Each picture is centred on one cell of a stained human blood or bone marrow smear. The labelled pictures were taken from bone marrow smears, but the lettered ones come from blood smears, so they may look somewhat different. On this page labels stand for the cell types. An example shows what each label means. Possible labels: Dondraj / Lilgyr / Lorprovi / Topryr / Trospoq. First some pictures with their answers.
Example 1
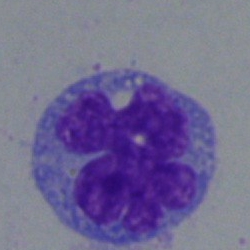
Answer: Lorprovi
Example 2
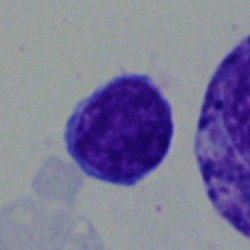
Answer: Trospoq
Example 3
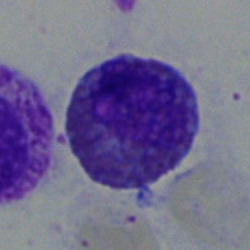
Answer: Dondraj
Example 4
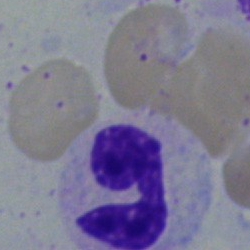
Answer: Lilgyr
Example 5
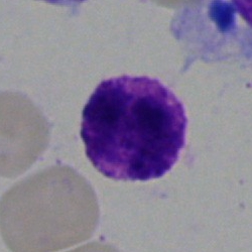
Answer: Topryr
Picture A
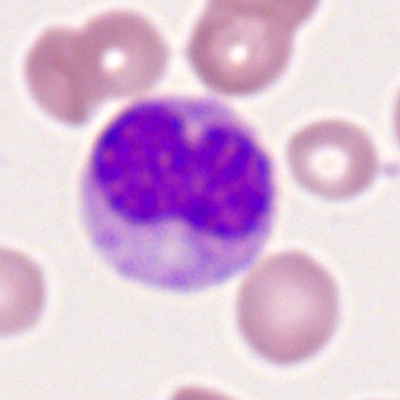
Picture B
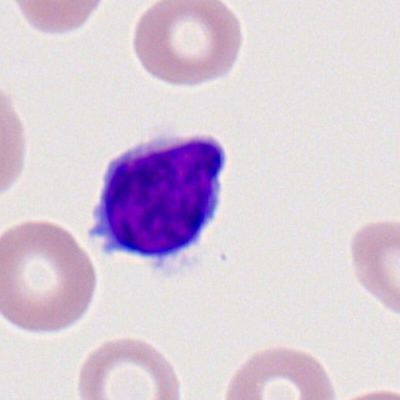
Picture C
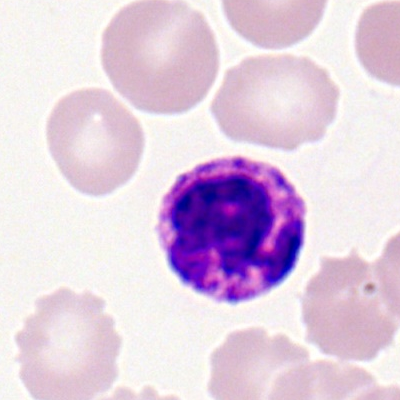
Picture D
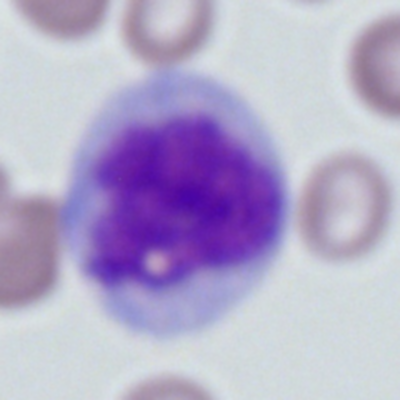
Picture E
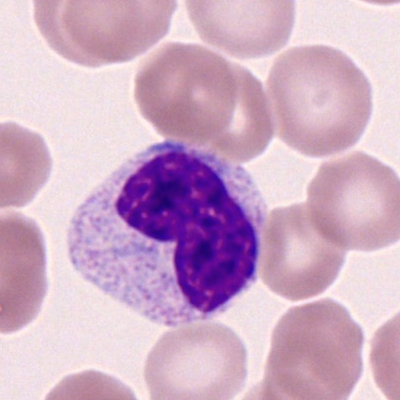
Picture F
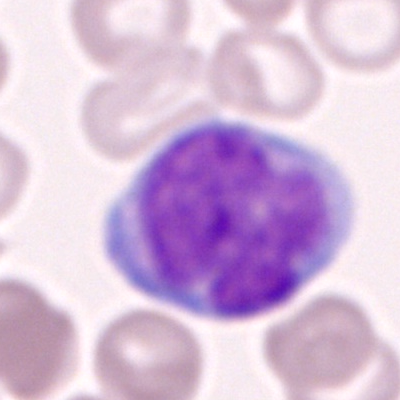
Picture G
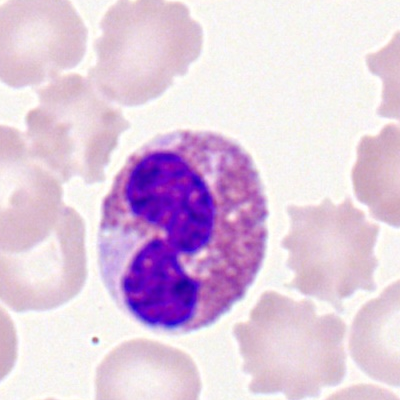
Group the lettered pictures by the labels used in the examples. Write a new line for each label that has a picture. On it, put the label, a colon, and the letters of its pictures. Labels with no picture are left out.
Dondraj: G
Lilgyr: A, E
Lorprovi: D, F
Topryr: C
Trospoq: B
